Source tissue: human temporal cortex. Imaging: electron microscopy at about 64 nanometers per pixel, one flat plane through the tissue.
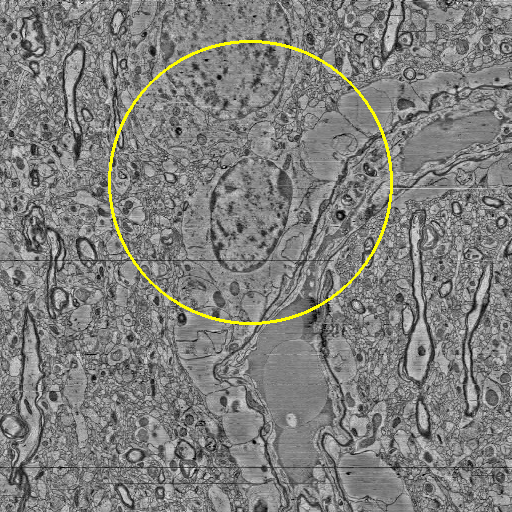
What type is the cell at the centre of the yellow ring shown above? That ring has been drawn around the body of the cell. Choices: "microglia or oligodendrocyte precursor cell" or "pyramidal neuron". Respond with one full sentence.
My answer is that a microglial cell or oligodendrocyte precursor cell lies at the centre of the yellow ring above.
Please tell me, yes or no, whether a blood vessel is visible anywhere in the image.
Yes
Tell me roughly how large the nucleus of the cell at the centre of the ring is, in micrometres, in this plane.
The ringed cell's nucleus is roughly 8 by 5 micrometres and clearly longer than it is wide in this plane.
